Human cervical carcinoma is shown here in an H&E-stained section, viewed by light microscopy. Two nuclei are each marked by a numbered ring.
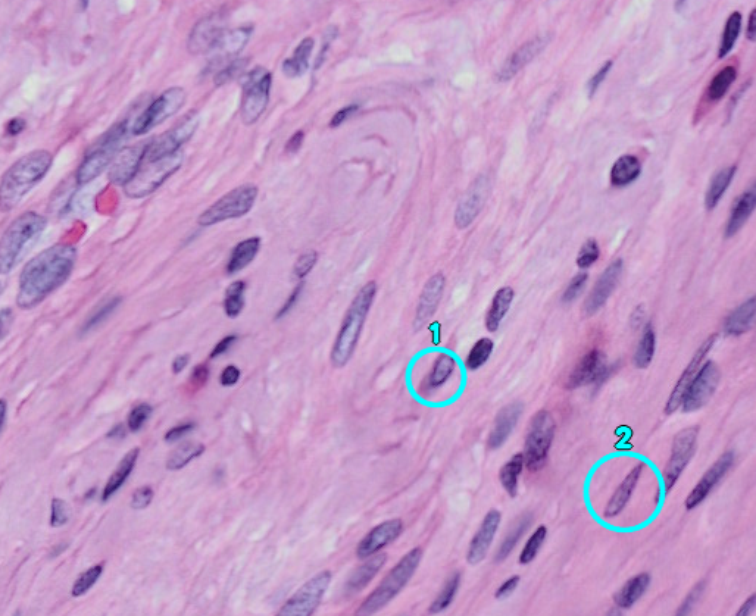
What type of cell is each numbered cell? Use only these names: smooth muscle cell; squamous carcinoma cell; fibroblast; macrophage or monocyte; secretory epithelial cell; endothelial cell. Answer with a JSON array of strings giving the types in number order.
["smooth muscle cell", "fibroblast"]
